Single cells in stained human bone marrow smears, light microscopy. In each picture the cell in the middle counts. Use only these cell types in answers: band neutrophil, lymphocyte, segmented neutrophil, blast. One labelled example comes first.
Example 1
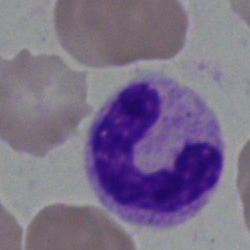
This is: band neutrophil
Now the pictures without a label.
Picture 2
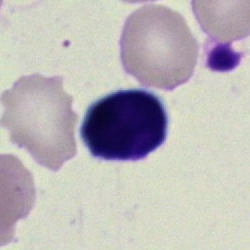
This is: lymphocyte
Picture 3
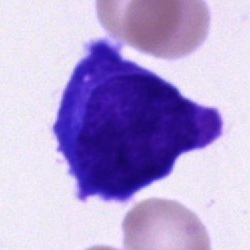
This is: blast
